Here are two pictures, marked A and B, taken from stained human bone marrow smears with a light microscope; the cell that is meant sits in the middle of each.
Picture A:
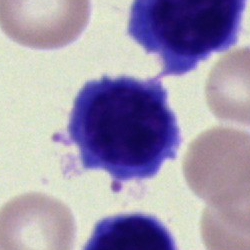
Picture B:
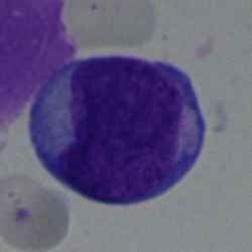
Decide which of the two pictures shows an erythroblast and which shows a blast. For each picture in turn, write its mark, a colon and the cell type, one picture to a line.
A: erythroblast
B: blast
